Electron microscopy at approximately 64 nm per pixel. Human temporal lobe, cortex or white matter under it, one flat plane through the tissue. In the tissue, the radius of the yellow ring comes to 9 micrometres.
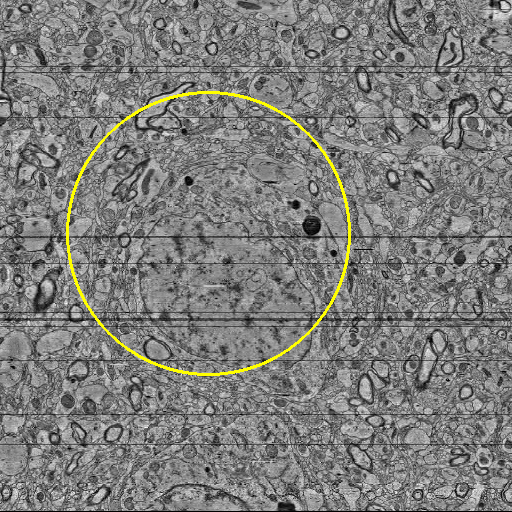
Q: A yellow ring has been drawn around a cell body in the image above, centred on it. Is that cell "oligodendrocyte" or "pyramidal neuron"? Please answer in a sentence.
The ring surrounds the cell body of a pyramidal neuron.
